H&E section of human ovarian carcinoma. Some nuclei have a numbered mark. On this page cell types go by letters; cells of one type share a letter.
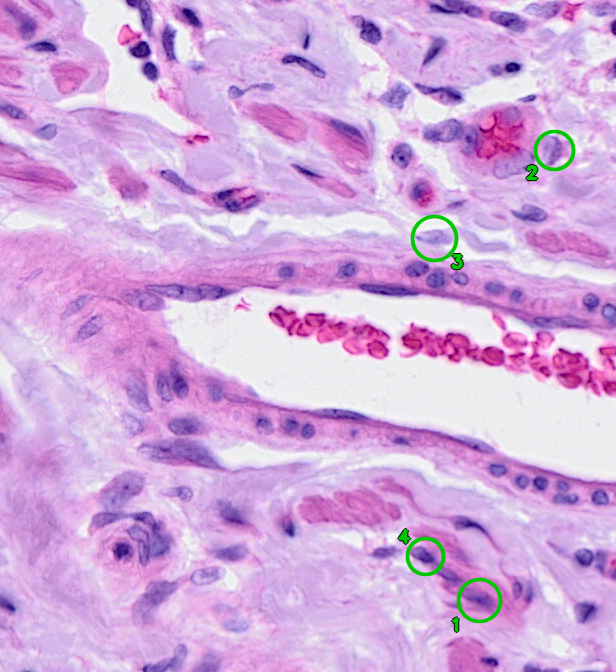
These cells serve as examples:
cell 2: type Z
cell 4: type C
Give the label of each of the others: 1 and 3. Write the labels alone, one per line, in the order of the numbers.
type C
type Z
